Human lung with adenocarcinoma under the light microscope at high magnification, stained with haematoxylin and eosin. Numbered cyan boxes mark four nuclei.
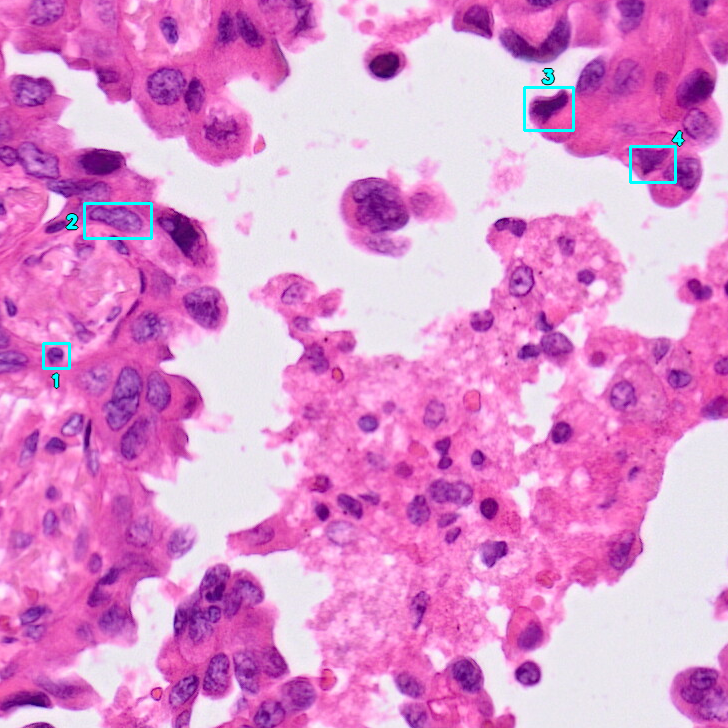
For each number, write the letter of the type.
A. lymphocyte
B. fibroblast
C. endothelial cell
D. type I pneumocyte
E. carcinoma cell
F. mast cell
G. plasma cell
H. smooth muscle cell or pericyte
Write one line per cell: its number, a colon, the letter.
1: A
2: E
3: E
4: E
